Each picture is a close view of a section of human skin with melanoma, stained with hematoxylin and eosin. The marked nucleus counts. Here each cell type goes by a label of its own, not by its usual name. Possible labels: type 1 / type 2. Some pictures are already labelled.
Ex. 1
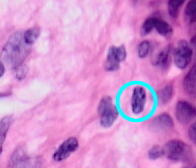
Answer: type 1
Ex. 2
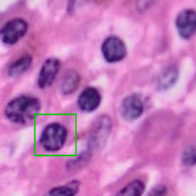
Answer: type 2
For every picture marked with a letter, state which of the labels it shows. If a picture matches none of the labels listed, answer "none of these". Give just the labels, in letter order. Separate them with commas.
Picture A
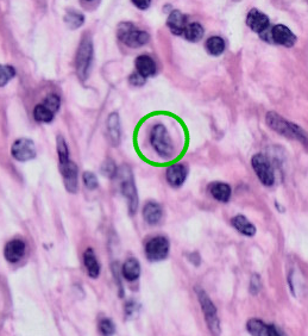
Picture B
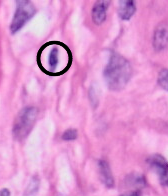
type 2, type 1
